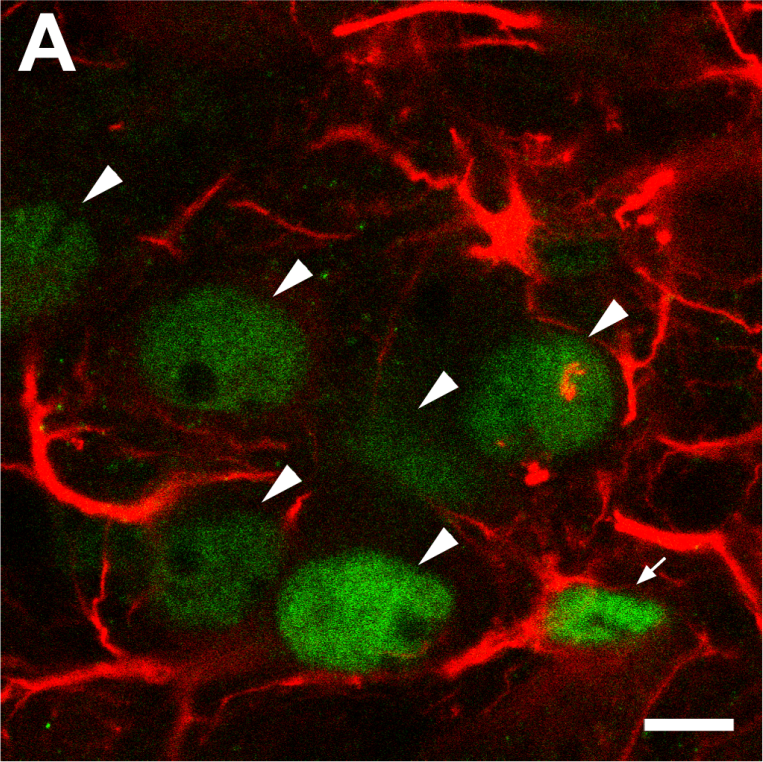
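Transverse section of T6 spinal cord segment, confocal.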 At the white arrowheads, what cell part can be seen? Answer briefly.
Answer: Neuronal nuclei.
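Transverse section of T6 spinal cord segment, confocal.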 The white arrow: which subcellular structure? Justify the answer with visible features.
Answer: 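Neuroglial nuclei. The marked green nucleus is small and elongated, much smaller than the neighbouring round nuclei. Red fibrous processes lie directly against the marked nucleus.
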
